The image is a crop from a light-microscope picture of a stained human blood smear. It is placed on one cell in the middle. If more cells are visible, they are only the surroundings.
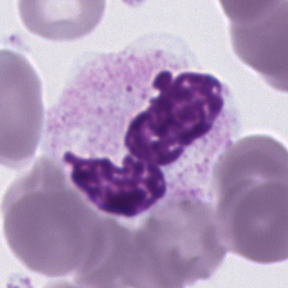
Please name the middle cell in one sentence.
Of the cells in this crop, the central one is a segmented neutrophil.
